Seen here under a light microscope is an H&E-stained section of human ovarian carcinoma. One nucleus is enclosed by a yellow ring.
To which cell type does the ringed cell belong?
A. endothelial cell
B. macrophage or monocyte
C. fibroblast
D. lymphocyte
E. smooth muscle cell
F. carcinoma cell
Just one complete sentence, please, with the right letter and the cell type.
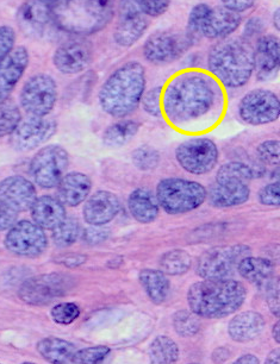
The correct identification, the ringed cell as a carcinoma cell, is given by option F.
